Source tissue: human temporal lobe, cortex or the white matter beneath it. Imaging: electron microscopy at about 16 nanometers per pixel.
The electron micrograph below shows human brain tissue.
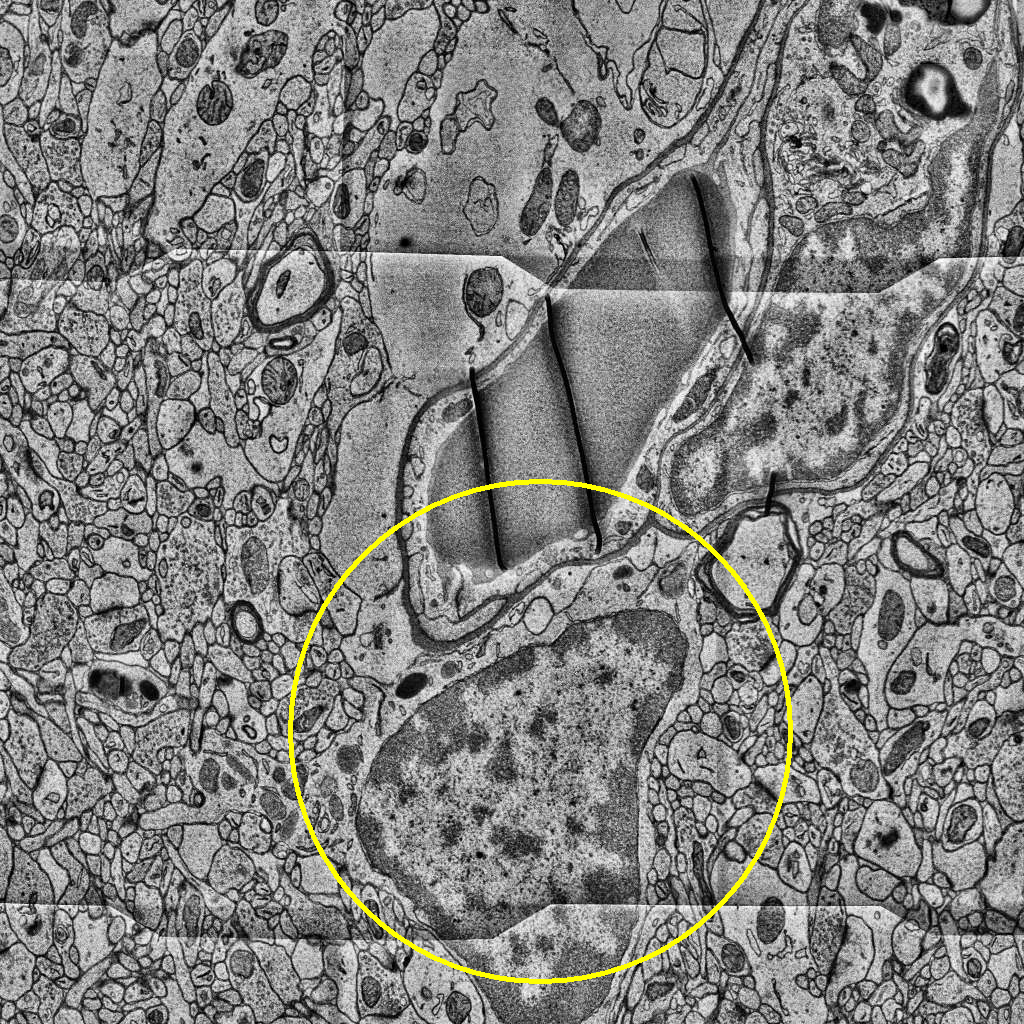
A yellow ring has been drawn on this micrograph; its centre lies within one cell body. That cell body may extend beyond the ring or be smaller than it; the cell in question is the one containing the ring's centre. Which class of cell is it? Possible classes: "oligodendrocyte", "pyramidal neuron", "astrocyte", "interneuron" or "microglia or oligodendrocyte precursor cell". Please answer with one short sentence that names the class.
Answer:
In the centre of the ring sits a microglial cell or oligodendrocyte precursor cell.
